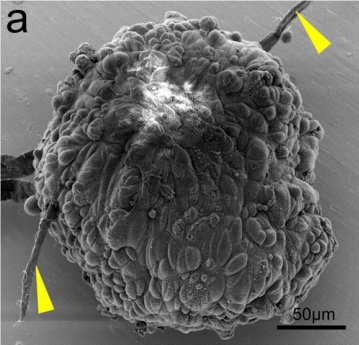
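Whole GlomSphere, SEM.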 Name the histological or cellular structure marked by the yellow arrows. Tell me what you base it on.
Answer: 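Tubule-like protrusions. Thin elongated strands project outward from the edge of the spherical cell aggregate. The strands are much narrower than the sphere and extend beyond its surface.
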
